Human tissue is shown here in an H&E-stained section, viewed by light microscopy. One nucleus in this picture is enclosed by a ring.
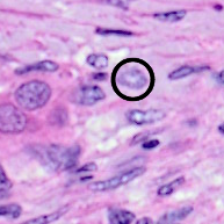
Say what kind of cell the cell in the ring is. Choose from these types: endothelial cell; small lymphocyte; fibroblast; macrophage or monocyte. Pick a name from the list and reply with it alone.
fibroblast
